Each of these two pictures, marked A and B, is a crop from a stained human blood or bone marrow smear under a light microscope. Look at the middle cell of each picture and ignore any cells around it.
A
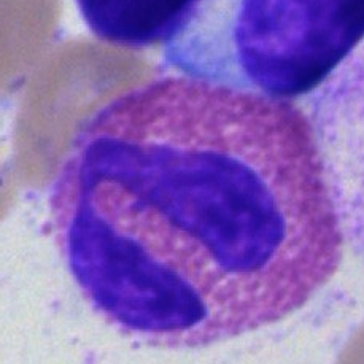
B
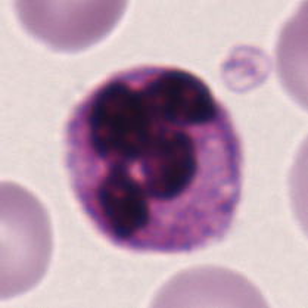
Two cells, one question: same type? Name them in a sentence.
No, an eosinophil is depicted by crop A, a segmented neutrophil by crop B.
